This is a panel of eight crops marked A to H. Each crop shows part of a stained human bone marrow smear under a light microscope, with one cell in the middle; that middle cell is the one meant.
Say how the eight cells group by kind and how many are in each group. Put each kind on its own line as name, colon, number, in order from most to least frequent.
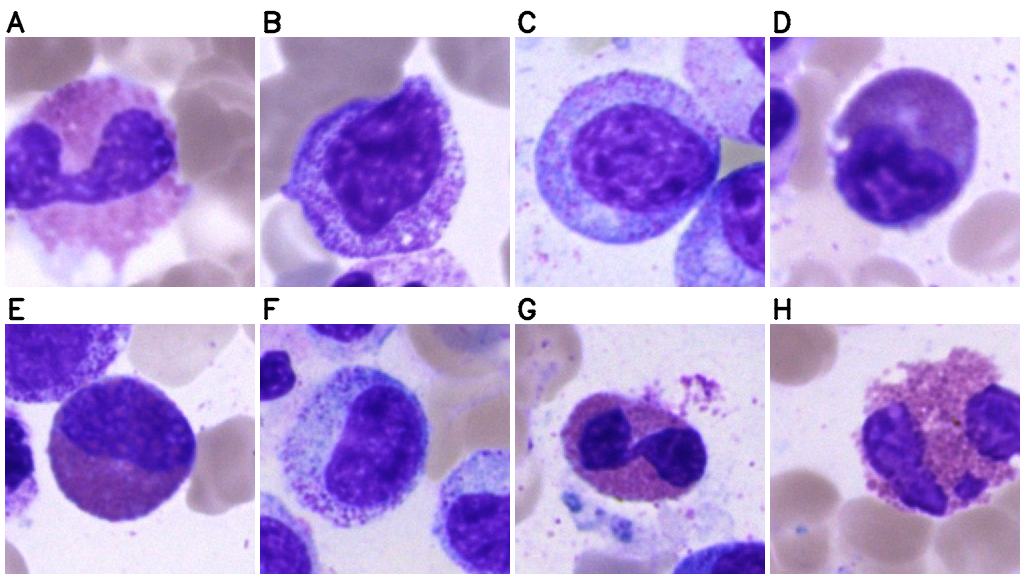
eosinophil: 5
myelocyte: 3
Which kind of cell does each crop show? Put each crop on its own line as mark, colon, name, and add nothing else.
A: eosinophil
B: myelocyte
C: myelocyte
D: eosinophil
E: eosinophil
F: myelocyte
G: eosinophil
H: eosinophil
